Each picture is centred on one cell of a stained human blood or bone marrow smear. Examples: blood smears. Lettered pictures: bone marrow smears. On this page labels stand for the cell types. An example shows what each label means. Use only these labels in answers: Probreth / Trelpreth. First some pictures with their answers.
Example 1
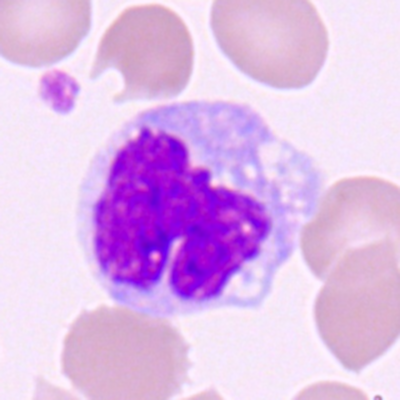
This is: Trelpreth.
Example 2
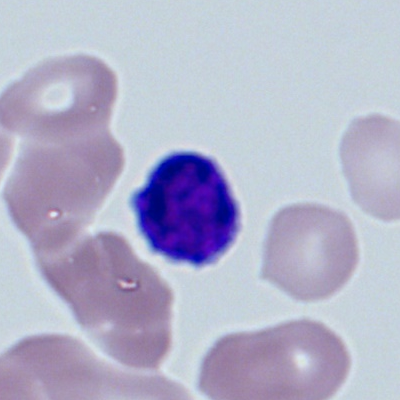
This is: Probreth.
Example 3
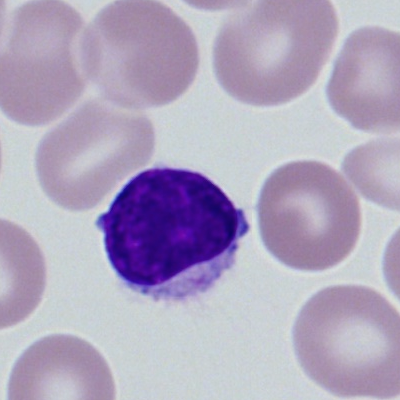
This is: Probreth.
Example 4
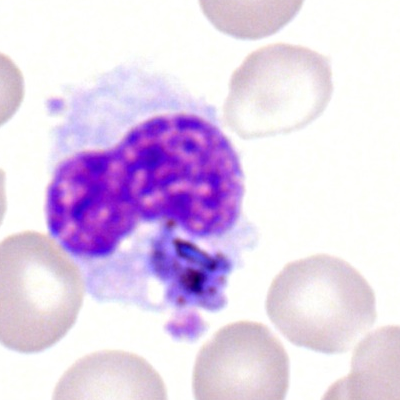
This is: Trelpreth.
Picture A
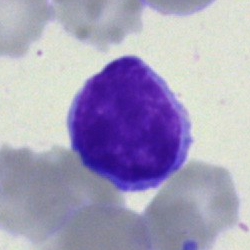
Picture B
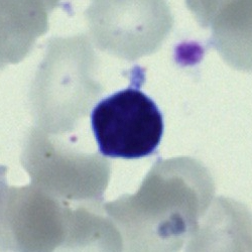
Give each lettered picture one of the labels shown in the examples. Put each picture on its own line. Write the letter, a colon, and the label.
A: Probreth.
B: Probreth.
